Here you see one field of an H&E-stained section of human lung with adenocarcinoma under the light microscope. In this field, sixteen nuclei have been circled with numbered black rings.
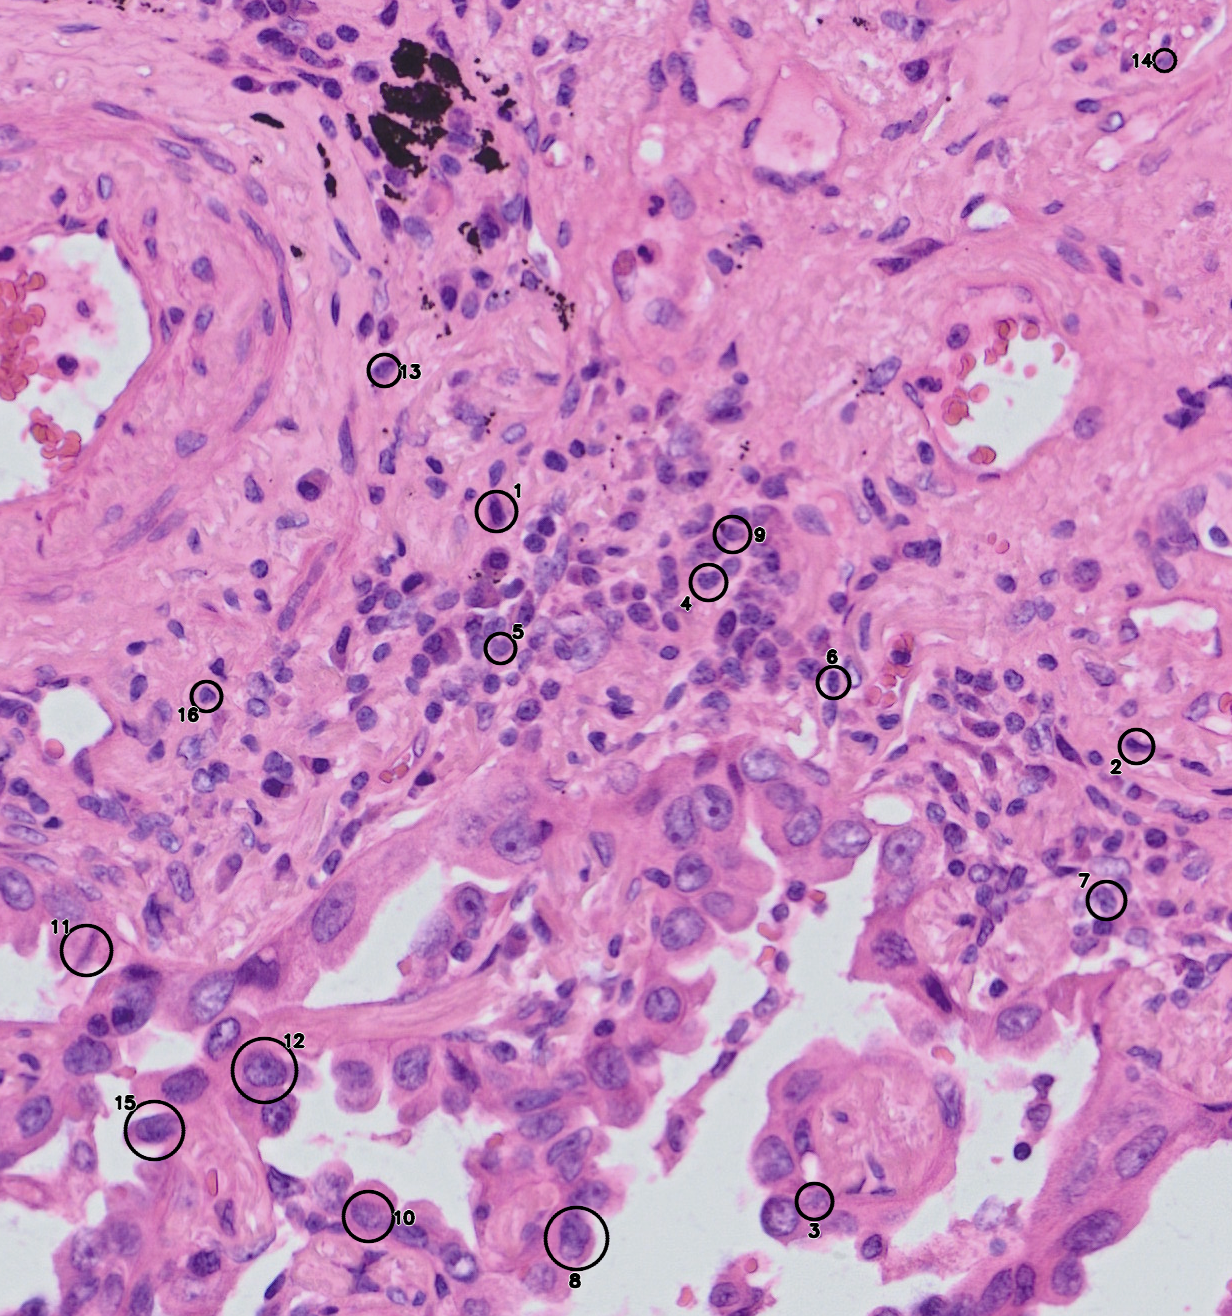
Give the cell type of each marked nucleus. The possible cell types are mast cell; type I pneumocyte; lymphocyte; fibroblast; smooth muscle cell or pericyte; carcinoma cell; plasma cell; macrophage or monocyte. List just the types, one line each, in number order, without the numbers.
plasma cell
plasma cell
carcinoma cell
lymphocyte
lymphocyte
lymphocyte
lymphocyte
carcinoma cell
lymphocyte
carcinoma cell
carcinoma cell
carcinoma cell
plasma cell
smooth muscle cell or pericyte
carcinoma cell
lymphocyte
